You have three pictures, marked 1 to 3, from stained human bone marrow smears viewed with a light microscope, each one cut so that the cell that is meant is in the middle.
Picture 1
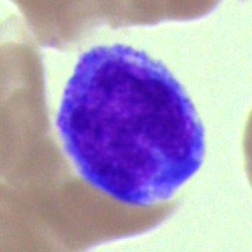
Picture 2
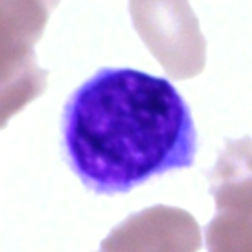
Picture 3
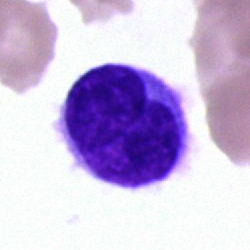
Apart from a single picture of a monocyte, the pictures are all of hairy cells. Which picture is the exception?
1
